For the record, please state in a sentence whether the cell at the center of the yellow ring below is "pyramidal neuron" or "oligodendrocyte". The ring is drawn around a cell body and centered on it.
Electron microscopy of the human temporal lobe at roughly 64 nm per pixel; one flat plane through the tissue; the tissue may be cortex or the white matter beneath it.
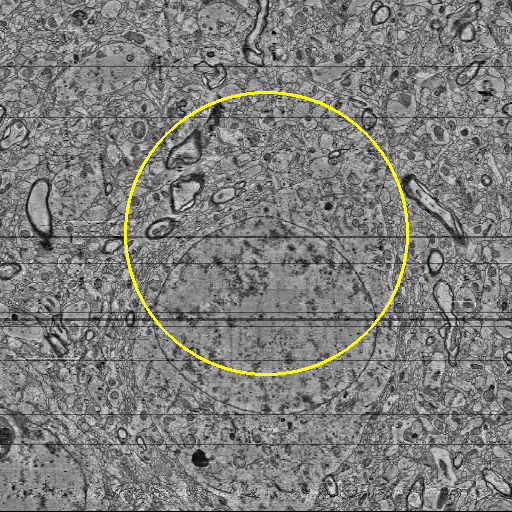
The cell at the ring's center is a pyramidal neuron.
